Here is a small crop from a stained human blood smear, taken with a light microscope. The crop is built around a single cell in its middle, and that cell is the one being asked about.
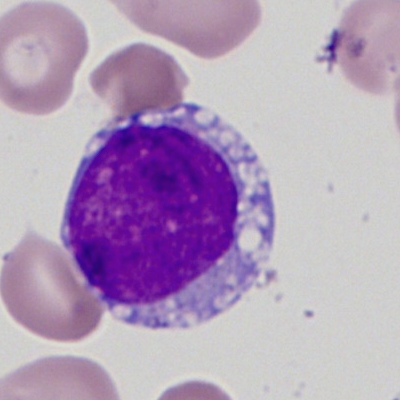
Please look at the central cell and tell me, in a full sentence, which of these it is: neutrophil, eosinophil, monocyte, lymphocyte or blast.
The target cell in the middle of the crop is a blast.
